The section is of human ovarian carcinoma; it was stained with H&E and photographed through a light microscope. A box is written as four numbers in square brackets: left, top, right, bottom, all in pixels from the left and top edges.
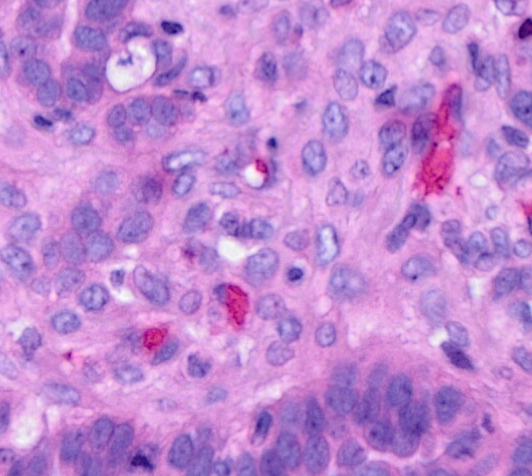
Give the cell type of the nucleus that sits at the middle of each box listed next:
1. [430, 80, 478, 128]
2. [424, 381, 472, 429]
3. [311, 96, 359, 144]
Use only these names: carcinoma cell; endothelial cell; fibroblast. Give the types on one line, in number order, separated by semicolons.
endothelial cell; carcinoma cell; fibroblast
